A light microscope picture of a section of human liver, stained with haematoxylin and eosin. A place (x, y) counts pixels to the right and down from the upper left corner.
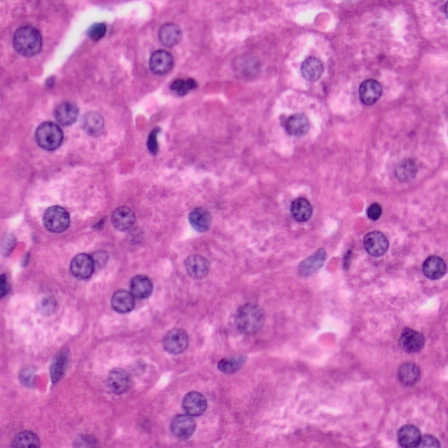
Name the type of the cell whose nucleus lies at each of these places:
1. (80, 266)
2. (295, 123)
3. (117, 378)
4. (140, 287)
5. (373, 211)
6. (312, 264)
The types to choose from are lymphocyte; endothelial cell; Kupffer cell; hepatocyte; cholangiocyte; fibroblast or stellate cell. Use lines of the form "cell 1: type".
cell 1: hepatocyte
cell 2: hepatocyte
cell 3: hepatocyte
cell 4: hepatocyte
cell 5: lymphocyte
cell 6: Kupffer cell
